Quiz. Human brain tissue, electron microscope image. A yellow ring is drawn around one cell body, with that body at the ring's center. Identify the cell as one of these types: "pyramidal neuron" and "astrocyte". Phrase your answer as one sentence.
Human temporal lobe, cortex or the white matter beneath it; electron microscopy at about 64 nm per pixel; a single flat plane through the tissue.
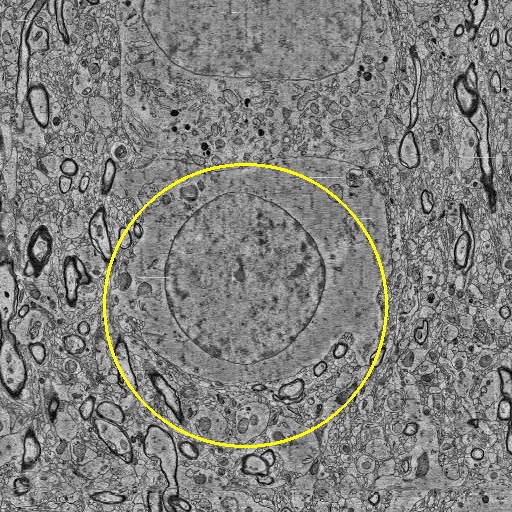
At the center of the ring sits an astrocyte.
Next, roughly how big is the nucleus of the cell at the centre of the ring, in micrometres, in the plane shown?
Roughly 11 micrometers across, in this plane.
